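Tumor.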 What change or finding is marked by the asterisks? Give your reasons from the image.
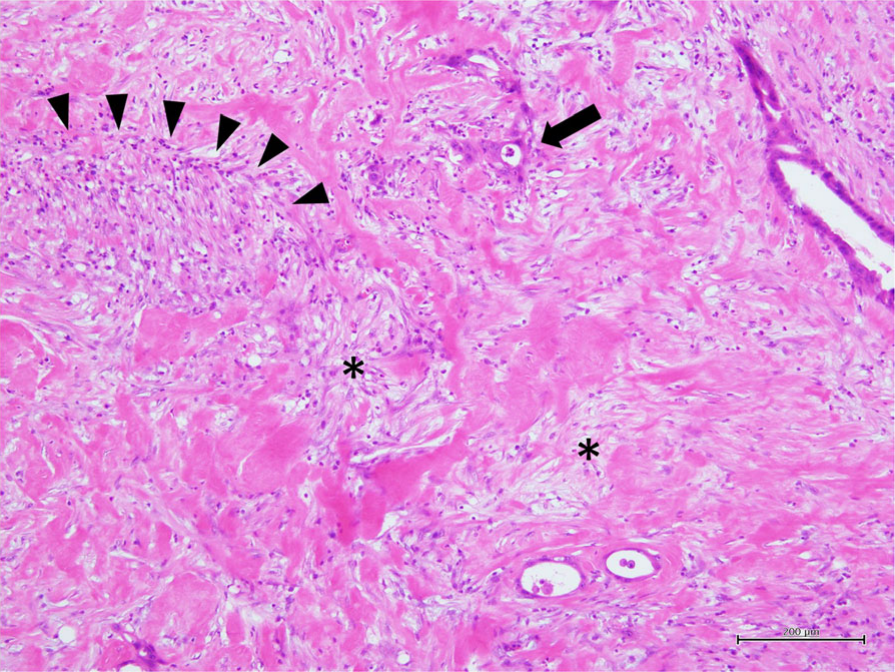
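Broad areas of pale to deep pink fibrillar extracellular material. Scattered elongated spindle-shaped nuclei lie between the pink bundles. On this evidence: growth of fibrous tissue.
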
